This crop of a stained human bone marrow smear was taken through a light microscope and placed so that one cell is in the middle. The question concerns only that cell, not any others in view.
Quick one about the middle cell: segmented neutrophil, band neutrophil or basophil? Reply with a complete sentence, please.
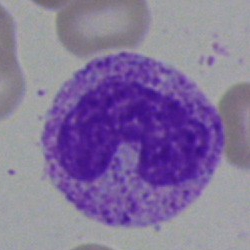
Whatever else lies nearby, the middle cell is a band neutrophil.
